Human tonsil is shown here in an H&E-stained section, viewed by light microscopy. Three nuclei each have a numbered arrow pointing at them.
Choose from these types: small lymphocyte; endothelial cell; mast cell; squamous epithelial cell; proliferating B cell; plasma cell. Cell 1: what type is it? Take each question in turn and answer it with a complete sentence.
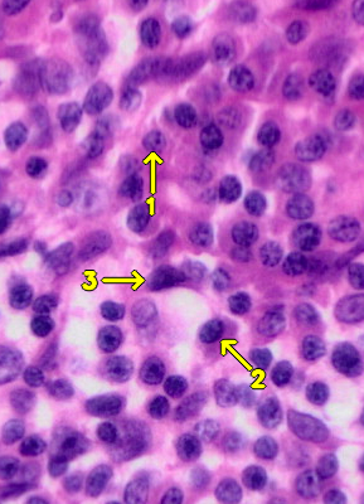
The identity of cell 1 is that of a plasma cell.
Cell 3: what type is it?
The cell tagged with 3 in this tissue section is a squamous epithelial cell.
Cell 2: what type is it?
In this section, number 2 marks a plasma cell.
